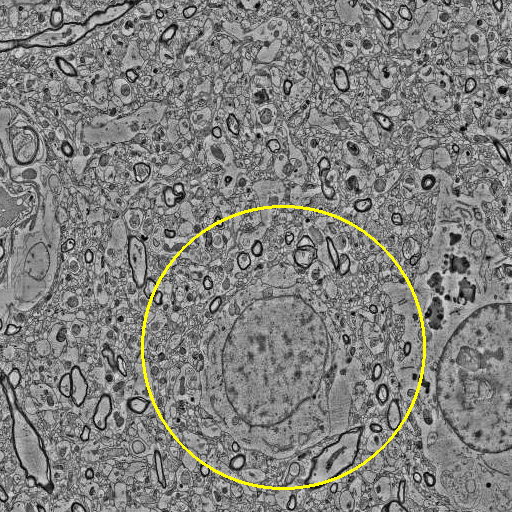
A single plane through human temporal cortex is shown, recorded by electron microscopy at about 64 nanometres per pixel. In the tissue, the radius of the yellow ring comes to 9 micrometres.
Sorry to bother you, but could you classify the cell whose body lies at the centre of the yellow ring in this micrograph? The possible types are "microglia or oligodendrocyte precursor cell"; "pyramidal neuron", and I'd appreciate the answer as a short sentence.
The ringed cell body is that of a pyramidal neuron.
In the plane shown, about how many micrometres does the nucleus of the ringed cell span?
Roughly 9 micrometres by 7 micrometres, in this plane.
